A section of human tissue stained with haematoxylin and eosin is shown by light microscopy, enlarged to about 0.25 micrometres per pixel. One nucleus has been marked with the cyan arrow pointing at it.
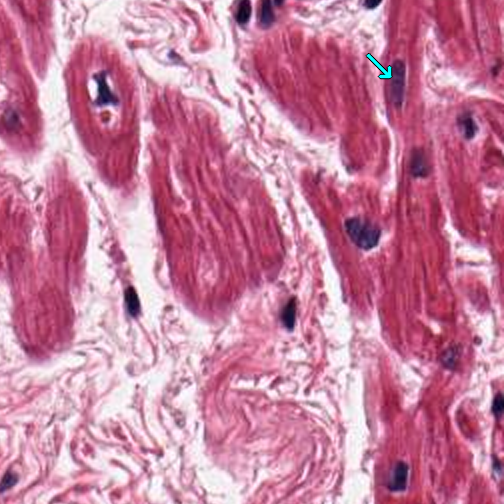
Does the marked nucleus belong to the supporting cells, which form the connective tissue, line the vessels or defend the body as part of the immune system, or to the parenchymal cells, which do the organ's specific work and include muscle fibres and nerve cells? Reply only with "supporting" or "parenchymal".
parenchymal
